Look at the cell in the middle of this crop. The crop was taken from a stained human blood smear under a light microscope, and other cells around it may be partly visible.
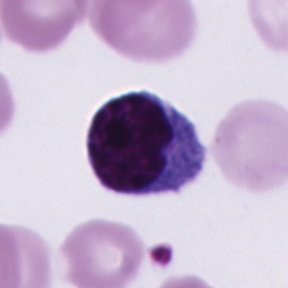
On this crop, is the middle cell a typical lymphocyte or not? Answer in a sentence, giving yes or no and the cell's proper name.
Yes, the cell in the centre is a typical lymphocyte.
